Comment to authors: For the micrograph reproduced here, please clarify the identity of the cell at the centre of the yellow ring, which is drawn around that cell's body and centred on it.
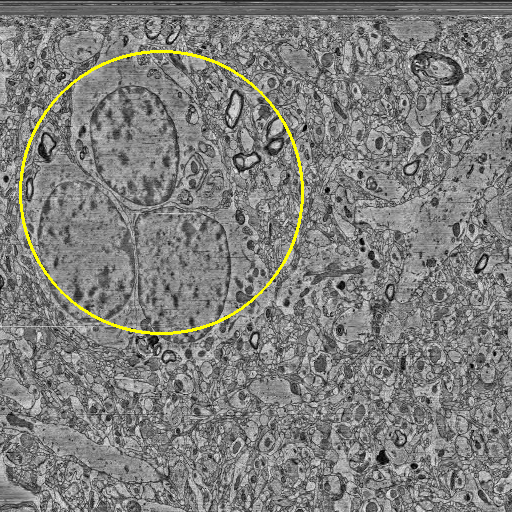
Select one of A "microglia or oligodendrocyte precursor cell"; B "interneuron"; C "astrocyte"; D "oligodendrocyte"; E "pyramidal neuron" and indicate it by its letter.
C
